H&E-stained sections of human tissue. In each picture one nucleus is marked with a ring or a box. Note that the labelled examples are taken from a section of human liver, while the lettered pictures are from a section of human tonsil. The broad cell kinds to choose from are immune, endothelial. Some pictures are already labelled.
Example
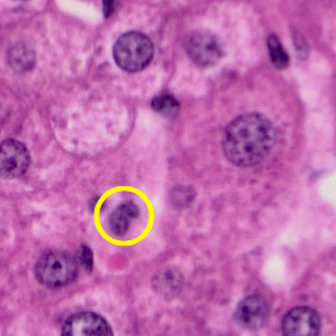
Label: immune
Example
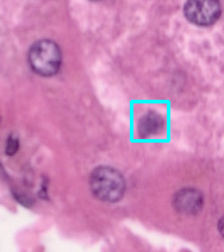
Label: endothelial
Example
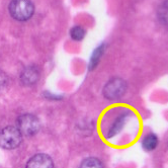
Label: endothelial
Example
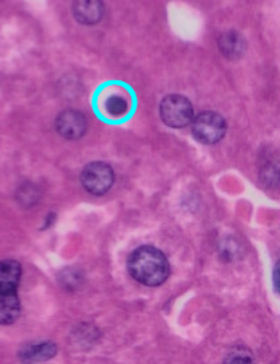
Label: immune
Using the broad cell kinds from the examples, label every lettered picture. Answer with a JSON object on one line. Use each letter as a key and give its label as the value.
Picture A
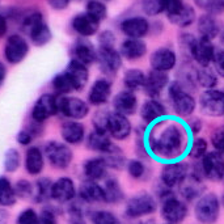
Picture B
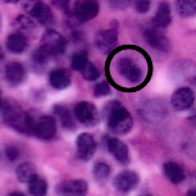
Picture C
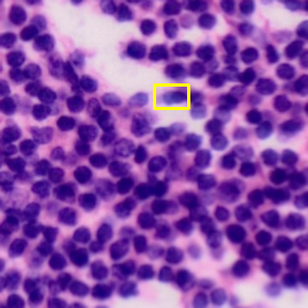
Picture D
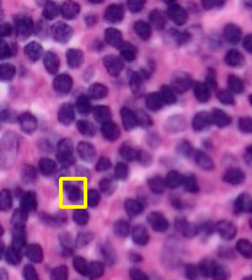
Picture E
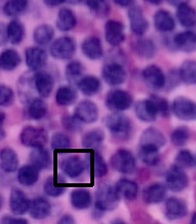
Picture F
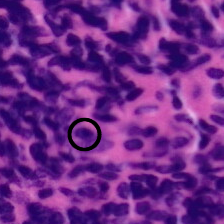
{"A": "immune", "B": "endothelial", "C": "immune", "D": "immune", "E": "immune", "F": "endothelial"}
